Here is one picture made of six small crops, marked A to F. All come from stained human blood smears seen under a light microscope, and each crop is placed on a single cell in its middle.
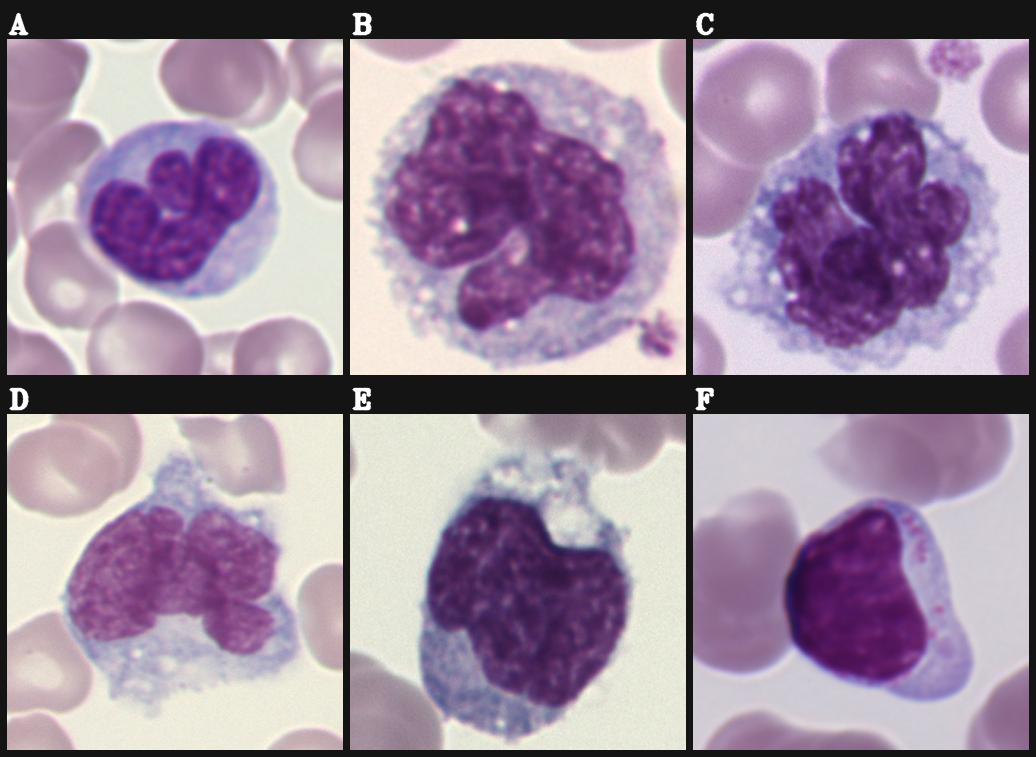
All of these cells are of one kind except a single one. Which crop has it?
F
